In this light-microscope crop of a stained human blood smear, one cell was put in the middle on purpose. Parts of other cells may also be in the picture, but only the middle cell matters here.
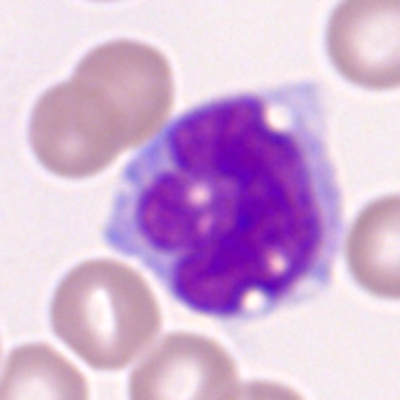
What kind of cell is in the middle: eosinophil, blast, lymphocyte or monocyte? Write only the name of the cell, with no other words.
monocyte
